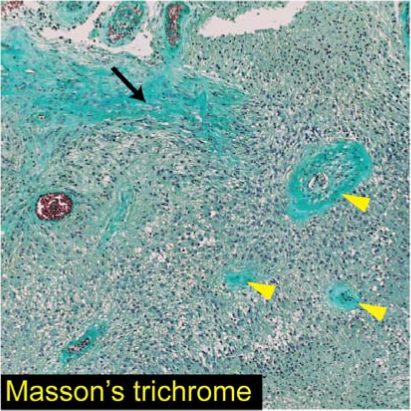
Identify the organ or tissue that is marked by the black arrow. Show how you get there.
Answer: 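Stromal region. The arrow points into a band of dense blue-green fibrous tissue. Small vessels lie within and beside this band.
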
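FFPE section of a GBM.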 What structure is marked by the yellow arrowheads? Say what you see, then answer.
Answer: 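Large tumor vessels. Round lumens encircled by thick blue-green rings. The rings stand out against the paler cellular tissue.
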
